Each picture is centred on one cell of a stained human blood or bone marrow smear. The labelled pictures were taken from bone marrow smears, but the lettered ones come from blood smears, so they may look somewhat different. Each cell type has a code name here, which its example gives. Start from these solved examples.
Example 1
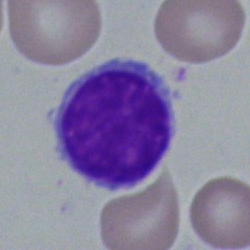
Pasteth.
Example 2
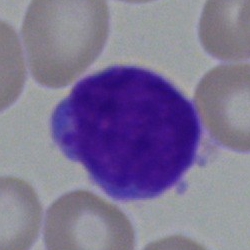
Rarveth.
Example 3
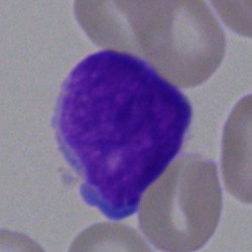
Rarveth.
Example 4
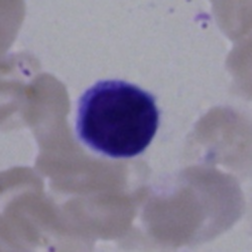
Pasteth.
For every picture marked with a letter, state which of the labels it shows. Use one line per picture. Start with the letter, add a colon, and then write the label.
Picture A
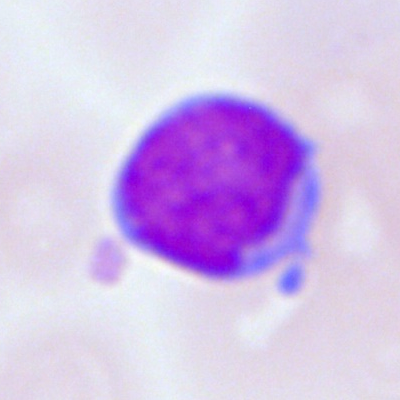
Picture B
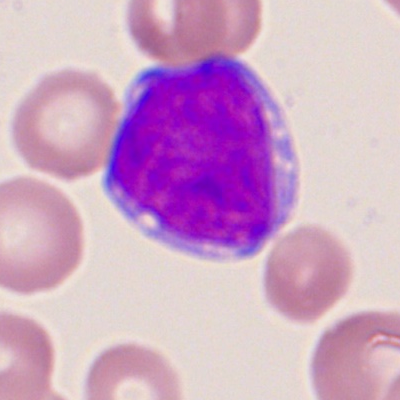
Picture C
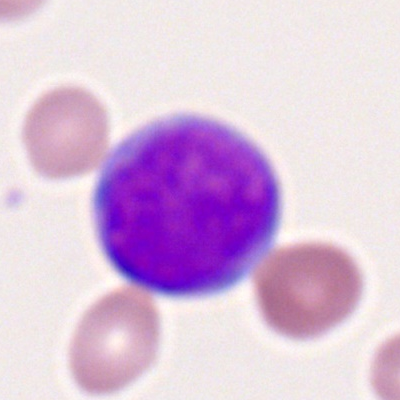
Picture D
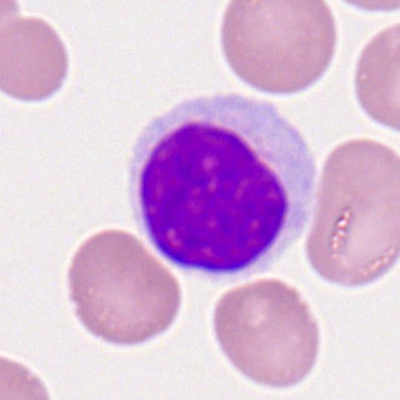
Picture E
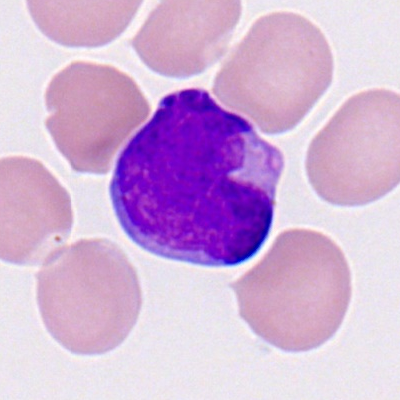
A: Rarveth.
B: Rarveth.
C: Rarveth.
D: Pasteth.
E: Rarveth.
